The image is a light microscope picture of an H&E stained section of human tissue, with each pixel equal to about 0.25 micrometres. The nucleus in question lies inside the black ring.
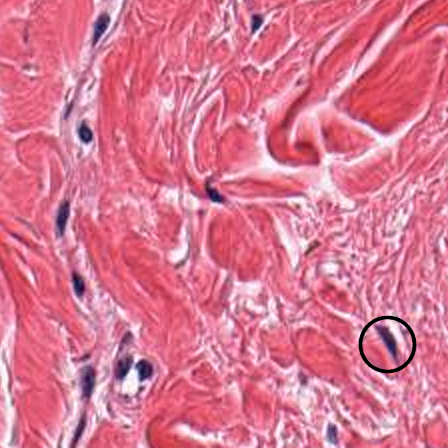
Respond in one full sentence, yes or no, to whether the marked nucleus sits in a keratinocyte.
No, the marked nucleus does not come from a keratinocyte but from a supporting cell.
